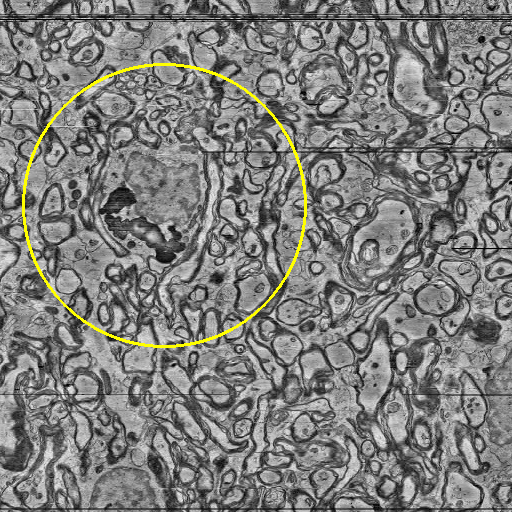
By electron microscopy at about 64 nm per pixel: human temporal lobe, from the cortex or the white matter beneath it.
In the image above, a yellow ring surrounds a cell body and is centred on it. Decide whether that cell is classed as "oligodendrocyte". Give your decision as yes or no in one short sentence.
Yes, it is classed as that kind.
